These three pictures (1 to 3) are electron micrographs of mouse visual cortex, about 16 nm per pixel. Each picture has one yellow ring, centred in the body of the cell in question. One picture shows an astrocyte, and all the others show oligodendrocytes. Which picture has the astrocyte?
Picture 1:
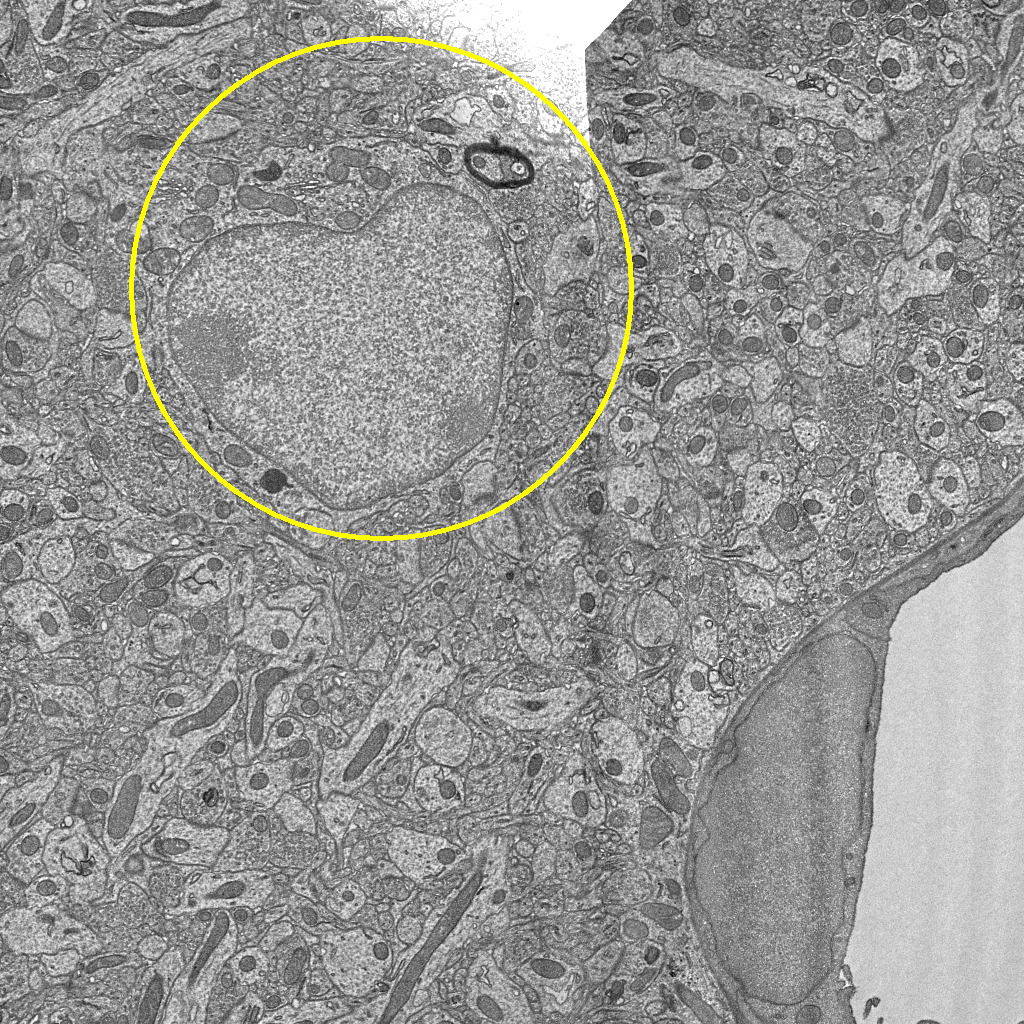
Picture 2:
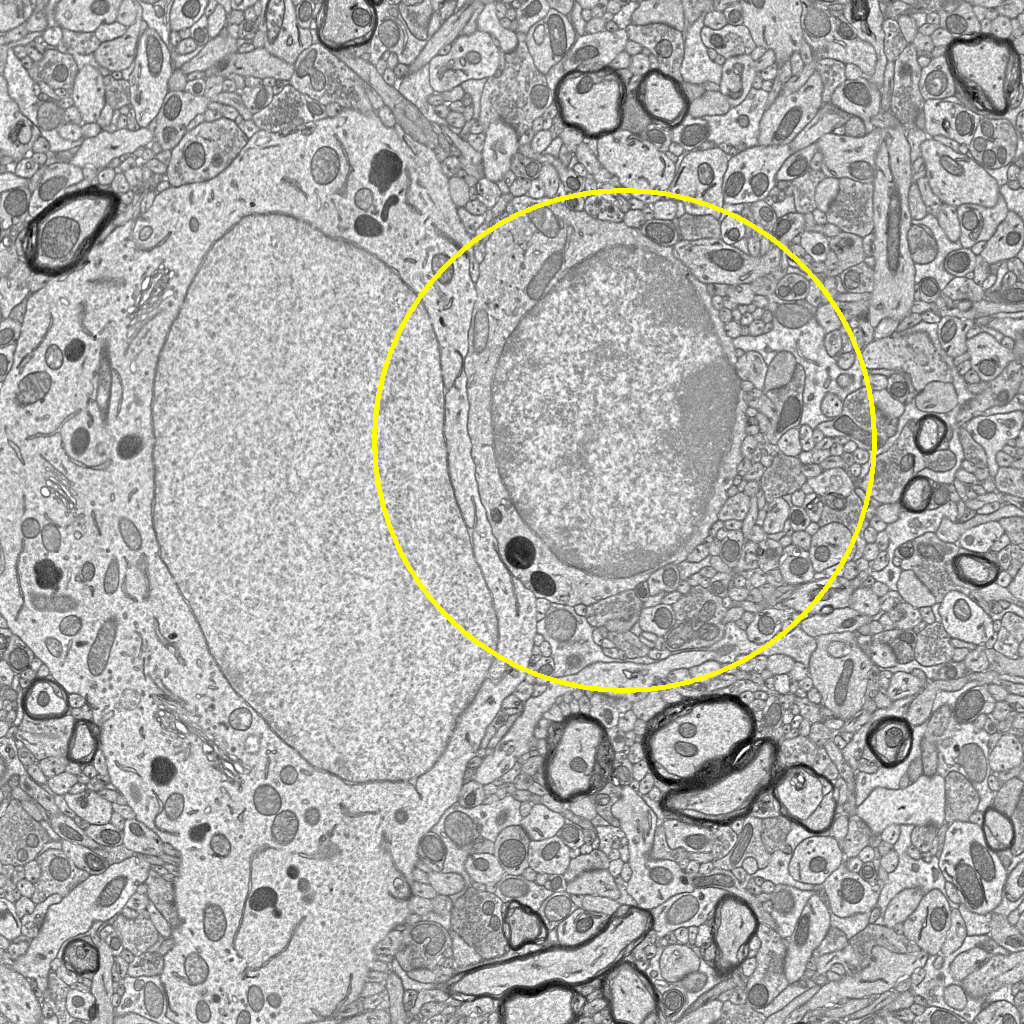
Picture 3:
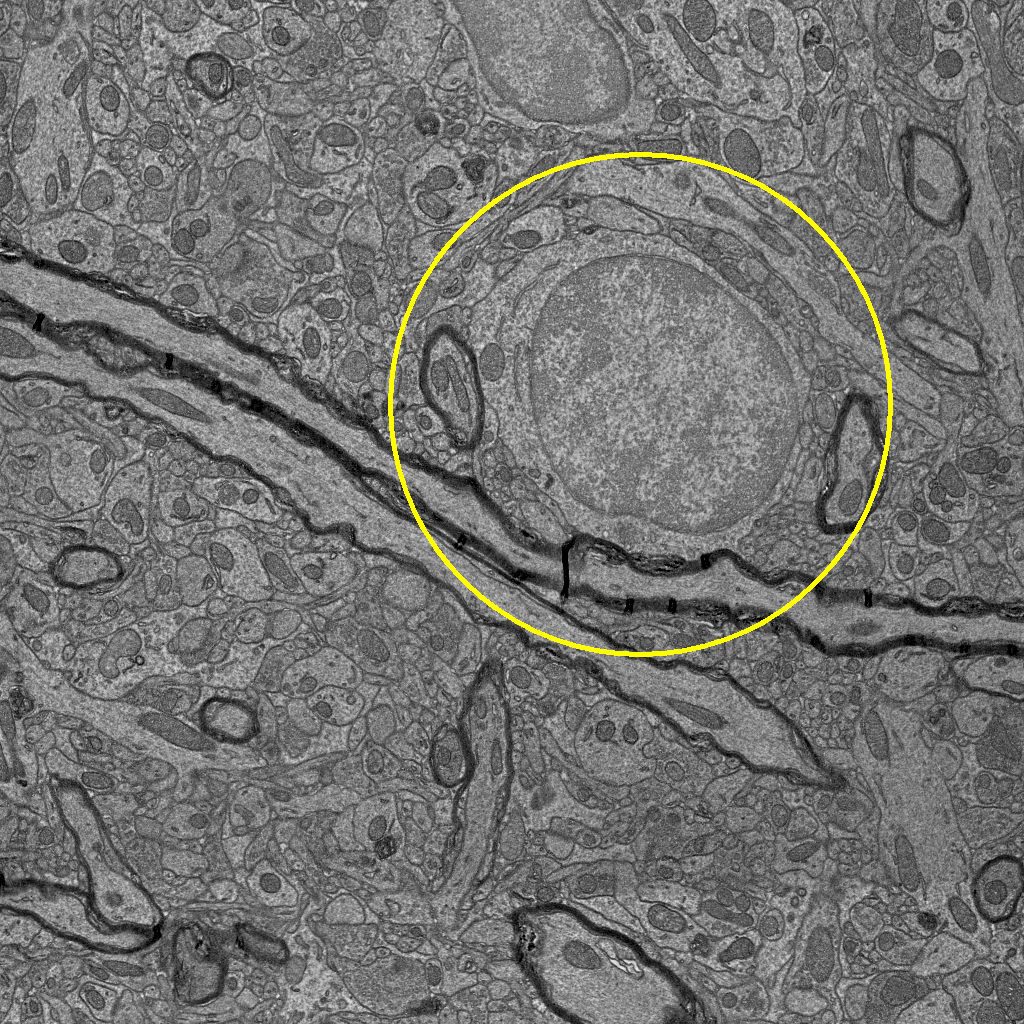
The picture with the astrocyte is 1.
